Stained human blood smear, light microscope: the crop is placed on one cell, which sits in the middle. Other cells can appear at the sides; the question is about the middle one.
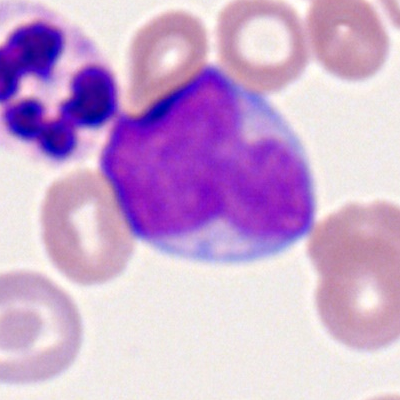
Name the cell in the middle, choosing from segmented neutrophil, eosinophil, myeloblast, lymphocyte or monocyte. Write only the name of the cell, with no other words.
myeloblast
